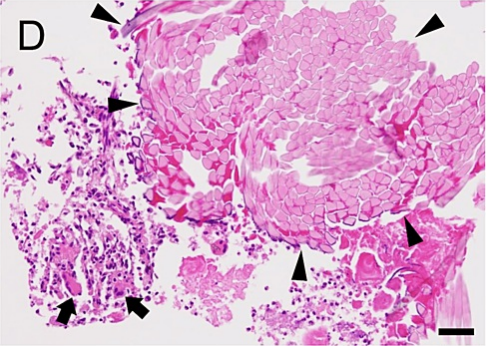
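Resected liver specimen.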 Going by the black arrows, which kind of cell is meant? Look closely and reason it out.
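Multinucleated giant cells. The arrows point to large cells at the lower left with abundant pink cytoplasm. These cells lie among inflammatory cells next to foreign material.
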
